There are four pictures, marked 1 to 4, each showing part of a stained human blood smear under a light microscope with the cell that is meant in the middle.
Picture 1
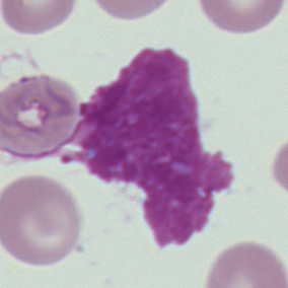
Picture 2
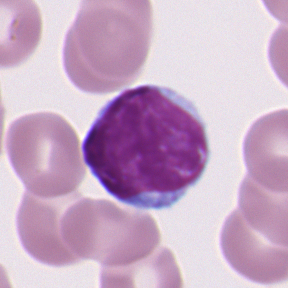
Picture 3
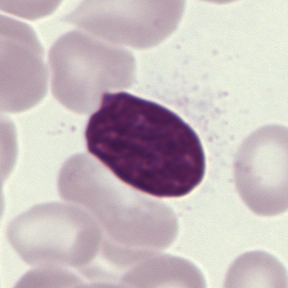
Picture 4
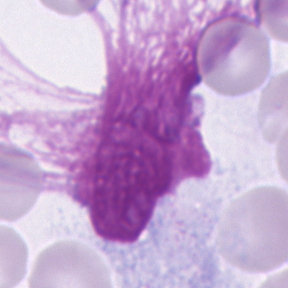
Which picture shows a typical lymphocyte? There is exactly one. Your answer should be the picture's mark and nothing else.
2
